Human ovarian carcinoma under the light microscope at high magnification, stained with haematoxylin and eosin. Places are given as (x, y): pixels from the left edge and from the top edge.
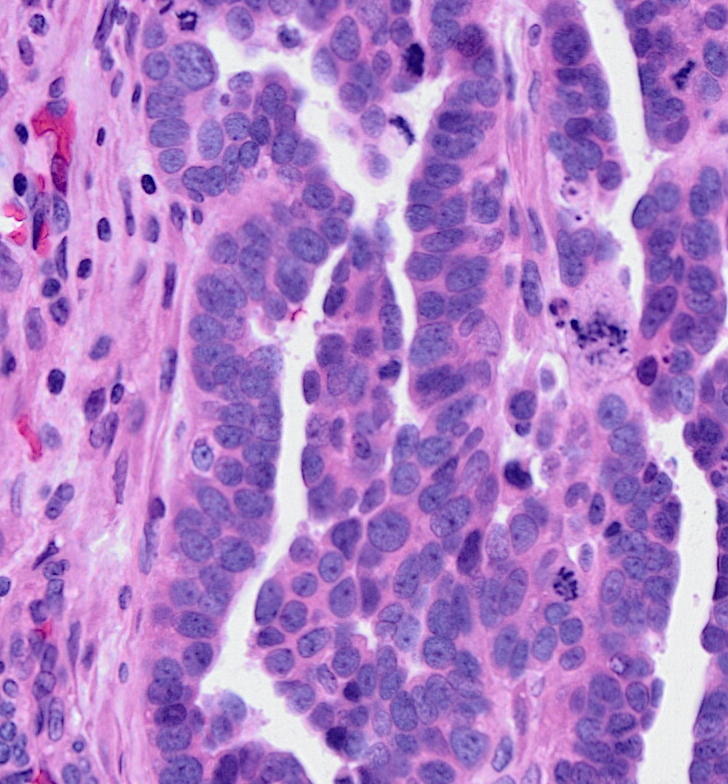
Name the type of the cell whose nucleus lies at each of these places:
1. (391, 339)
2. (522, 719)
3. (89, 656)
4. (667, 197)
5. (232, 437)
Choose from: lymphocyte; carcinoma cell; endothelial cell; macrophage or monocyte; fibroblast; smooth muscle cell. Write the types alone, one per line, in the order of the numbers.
carcinoma cell
fibroblast
fibroblast
carcinoma cell
carcinoma cell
